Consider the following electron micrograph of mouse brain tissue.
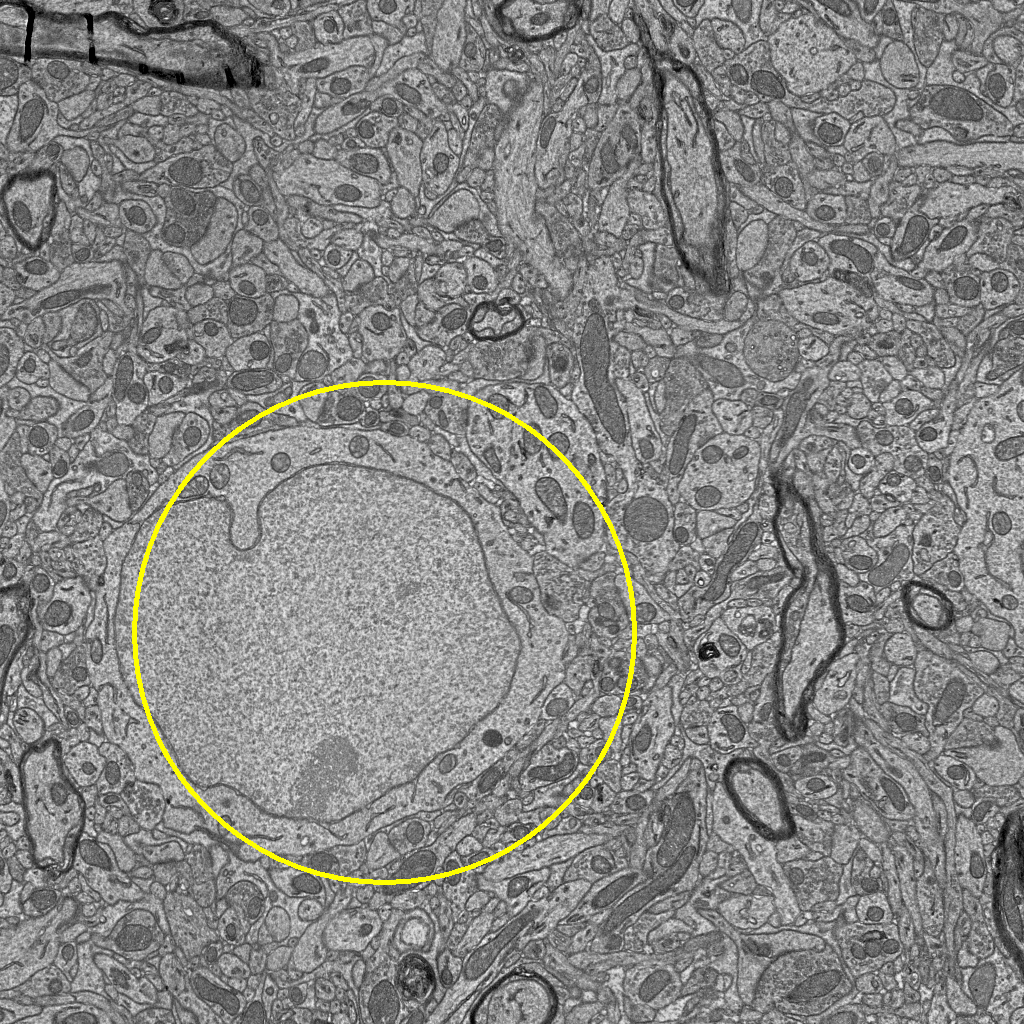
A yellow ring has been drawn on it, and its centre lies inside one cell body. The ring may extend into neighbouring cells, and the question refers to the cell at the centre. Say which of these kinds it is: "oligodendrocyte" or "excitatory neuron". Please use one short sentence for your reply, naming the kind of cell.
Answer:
The centre of the ring falls on an excitatory neuron.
